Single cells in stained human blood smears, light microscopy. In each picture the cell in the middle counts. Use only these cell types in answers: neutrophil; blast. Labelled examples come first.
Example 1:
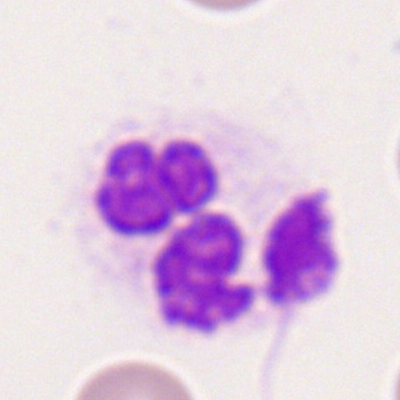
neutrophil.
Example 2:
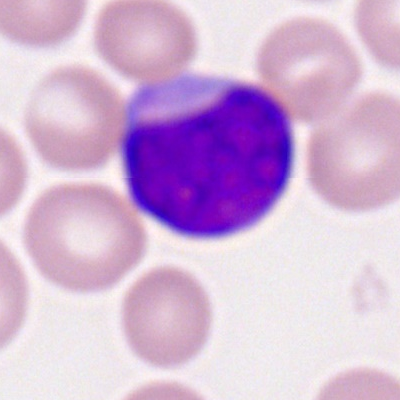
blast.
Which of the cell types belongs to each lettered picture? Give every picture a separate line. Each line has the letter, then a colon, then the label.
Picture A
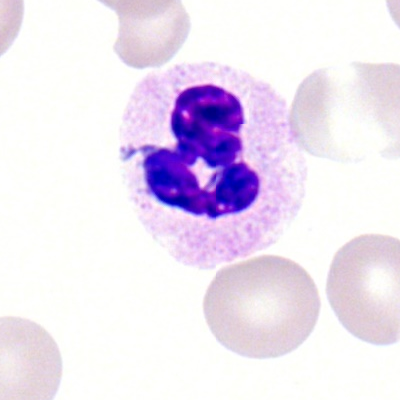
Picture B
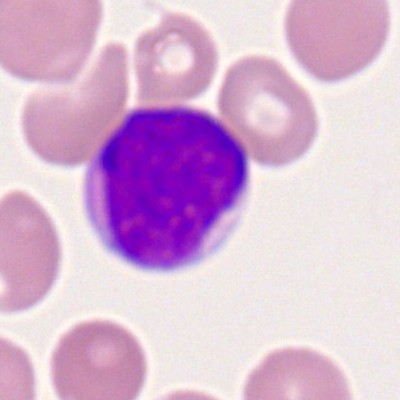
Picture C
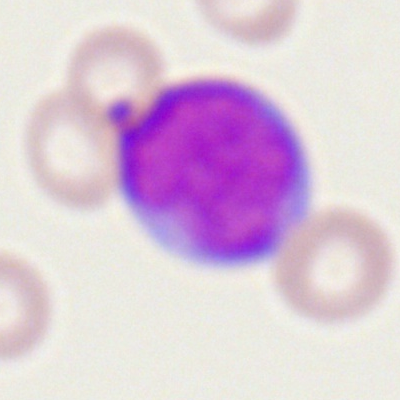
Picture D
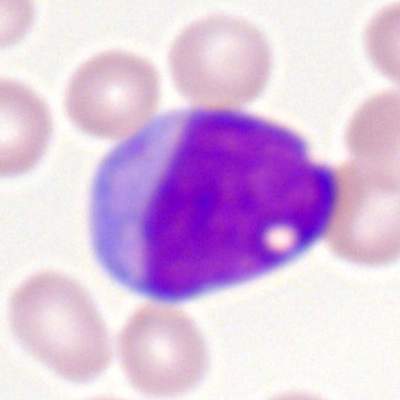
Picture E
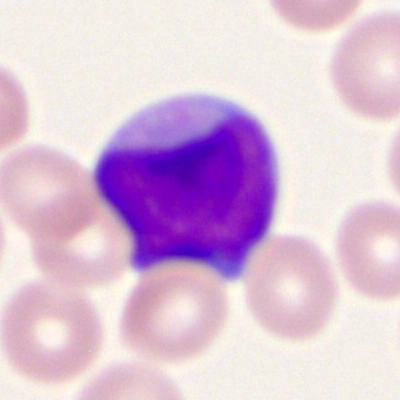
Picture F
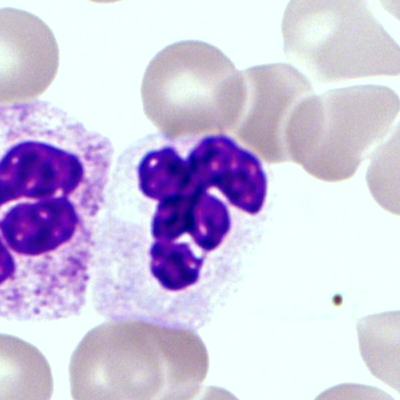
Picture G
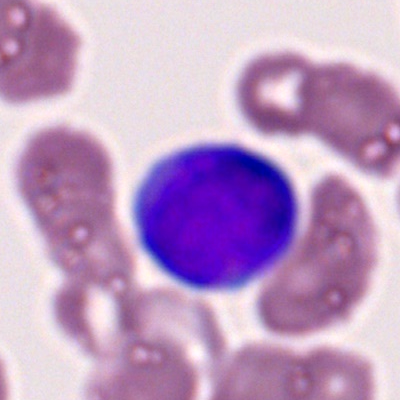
A: neutrophil.
B: blast.
C: blast.
D: blast.
E: blast.
F: neutrophil.
G: blast.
